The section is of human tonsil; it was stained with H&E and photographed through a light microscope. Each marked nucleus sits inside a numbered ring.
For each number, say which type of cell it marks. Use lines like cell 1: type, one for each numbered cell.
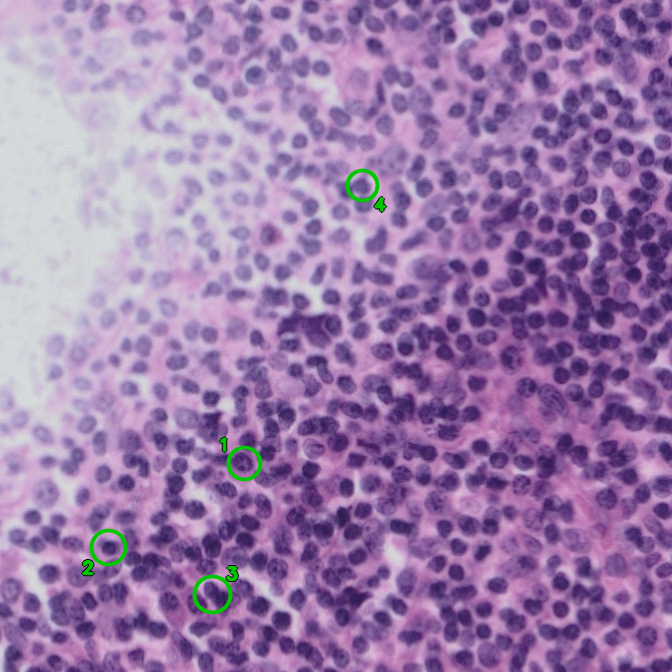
cell 1: plasma cell
cell 2: small lymphocyte
cell 3: small lymphocyte
cell 4: small lymphocyte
